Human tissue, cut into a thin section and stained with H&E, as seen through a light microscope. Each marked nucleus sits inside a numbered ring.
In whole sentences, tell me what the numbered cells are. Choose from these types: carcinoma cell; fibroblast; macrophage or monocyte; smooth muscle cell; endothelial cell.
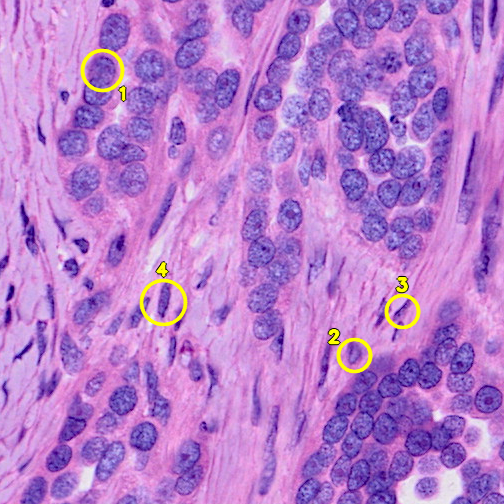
Cell 1 is a carcinoma cell, cell 2 is a fibroblast, cell 3 is a fibroblast and cell 4 is a fibroblast.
